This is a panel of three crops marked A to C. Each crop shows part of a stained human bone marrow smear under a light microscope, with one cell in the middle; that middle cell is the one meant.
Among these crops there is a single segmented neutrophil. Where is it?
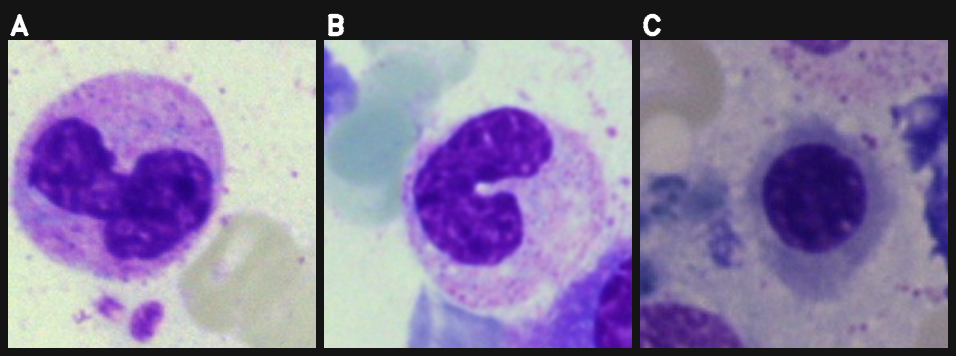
A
